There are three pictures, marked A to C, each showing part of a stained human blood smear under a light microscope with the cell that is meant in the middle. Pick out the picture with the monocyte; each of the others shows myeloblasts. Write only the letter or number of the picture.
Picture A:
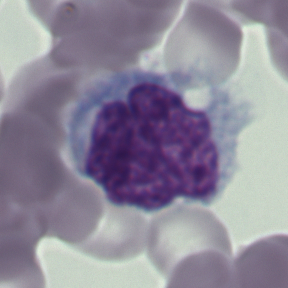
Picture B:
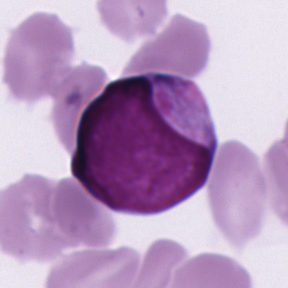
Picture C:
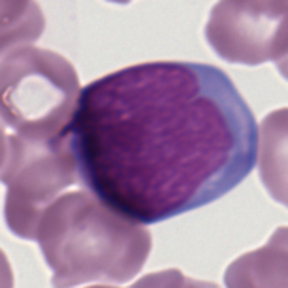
A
